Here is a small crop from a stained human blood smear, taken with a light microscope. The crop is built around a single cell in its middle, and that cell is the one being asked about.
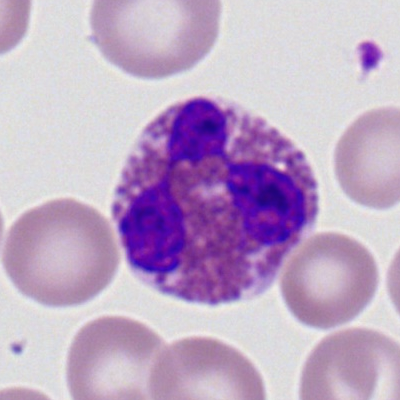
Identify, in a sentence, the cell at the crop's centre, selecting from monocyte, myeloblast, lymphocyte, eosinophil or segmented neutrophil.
In the crop, the cell of interest at the centre is an eosinophil.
